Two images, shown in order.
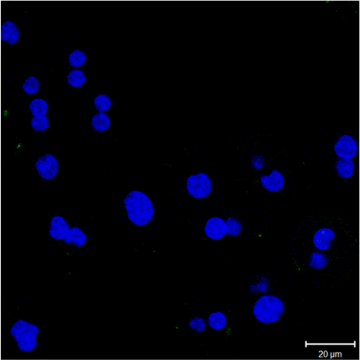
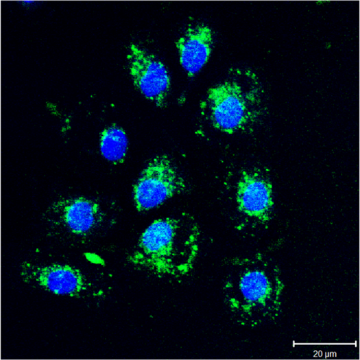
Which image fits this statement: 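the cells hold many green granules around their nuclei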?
The second image.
